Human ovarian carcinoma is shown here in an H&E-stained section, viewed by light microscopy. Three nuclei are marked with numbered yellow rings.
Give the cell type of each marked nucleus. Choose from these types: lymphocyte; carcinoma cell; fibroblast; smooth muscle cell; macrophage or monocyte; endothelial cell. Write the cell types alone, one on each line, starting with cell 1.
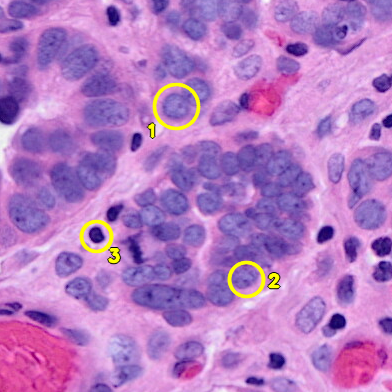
carcinoma cell
carcinoma cell
lymphocyte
